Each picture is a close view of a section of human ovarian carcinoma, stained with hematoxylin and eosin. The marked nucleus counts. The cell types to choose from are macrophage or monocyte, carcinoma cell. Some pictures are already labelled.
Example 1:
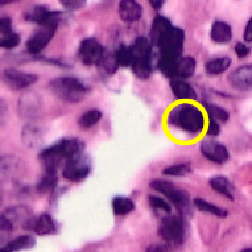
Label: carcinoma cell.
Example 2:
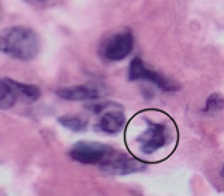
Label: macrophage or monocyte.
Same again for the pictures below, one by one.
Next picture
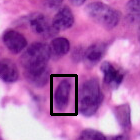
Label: carcinoma cell.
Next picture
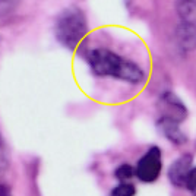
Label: macrophage or monocyte.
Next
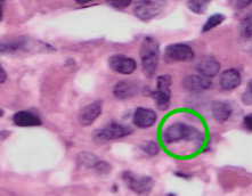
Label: macrophage or monocyte.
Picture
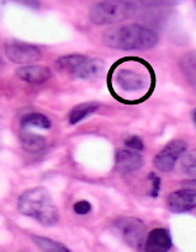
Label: macrophage or monocyte.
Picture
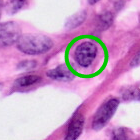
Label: macrophage or monocyte.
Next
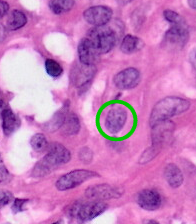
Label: macrophage or monocyte.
